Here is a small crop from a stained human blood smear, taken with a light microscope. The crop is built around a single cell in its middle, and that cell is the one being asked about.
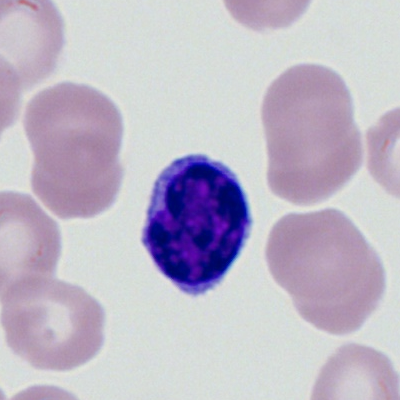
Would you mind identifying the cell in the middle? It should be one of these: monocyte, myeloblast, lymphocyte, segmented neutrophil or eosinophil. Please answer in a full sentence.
Whatever else lies nearby, the middle cell is a lymphocyte.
